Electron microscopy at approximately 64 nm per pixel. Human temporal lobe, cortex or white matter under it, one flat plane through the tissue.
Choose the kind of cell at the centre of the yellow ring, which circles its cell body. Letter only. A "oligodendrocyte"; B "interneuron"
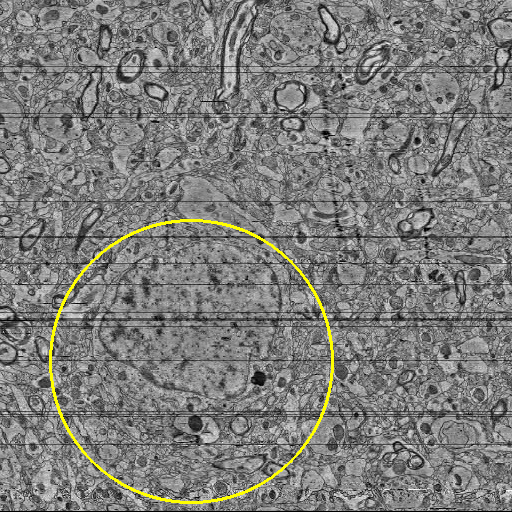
B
